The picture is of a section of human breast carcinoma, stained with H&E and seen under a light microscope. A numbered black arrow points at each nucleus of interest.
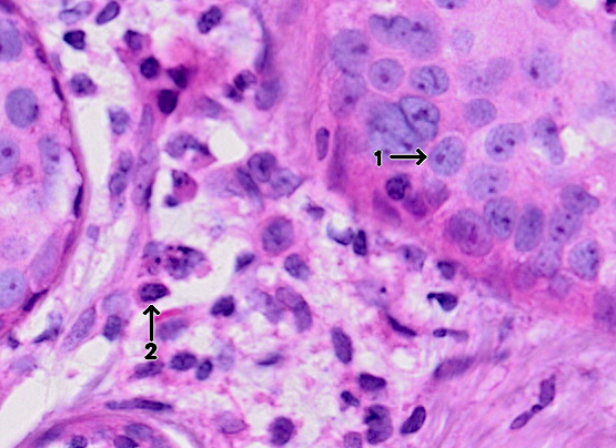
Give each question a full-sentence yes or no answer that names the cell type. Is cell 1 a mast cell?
No, the marker 1 sits on a carcinoma cell, not on a mast cell.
